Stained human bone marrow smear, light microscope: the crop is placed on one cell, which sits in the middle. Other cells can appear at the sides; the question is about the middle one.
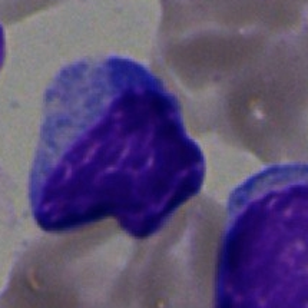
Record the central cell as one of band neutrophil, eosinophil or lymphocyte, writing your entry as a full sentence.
As for the cell in the middle, it is a lymphocyte.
